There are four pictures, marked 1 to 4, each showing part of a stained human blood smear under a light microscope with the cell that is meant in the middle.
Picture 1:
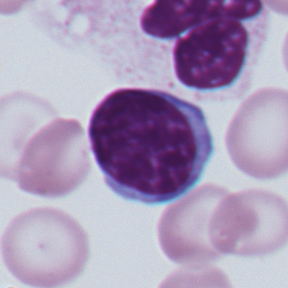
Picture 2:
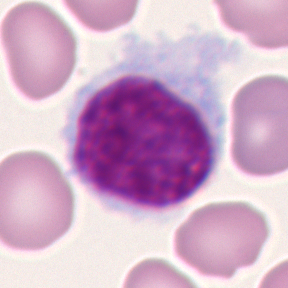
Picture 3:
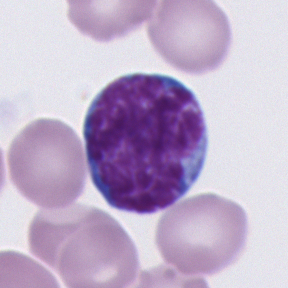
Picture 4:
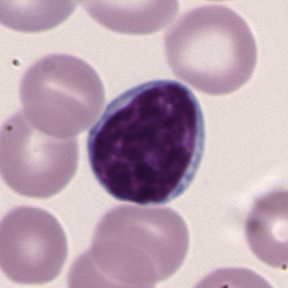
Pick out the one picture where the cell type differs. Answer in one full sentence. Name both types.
The different one is picture 2; it shows a hairy cell, whereas all the others show typical lymphocytes.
